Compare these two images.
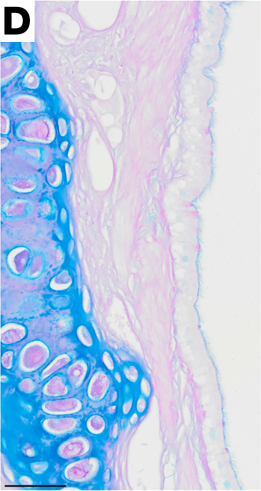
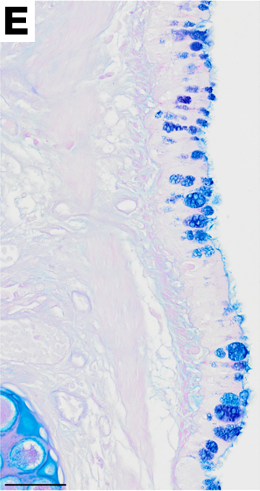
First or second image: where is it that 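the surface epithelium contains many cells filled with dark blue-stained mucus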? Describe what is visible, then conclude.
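The second image. Second image: many dark blue-filled cells line the epithelial surface. First image: the epithelial lining is pale with almost no dark blue-stained cells.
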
